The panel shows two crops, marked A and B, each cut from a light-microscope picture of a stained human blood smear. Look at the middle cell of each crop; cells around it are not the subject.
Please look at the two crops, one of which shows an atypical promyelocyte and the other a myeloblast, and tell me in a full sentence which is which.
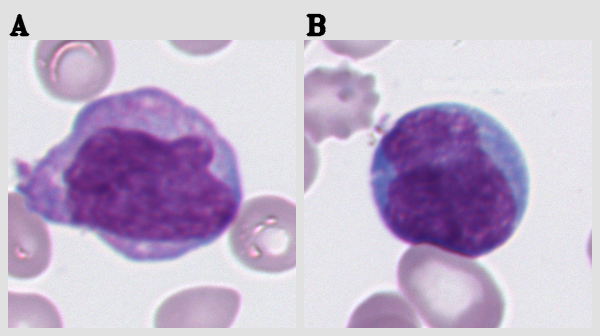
Crop A depicts an atypical promyelocyte, and a myeloblast is depicted in crop B.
